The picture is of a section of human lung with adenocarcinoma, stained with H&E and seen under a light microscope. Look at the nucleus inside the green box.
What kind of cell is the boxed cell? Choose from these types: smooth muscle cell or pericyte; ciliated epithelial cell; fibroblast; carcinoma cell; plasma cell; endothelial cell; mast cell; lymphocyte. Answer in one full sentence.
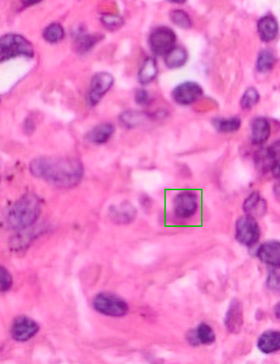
Cell type answer for this item: the boxed cell is a plasma cell.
